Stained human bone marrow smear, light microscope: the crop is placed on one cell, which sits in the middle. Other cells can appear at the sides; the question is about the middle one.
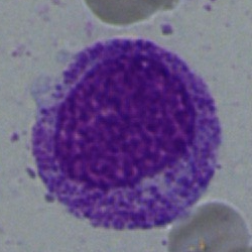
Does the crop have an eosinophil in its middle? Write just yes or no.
no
